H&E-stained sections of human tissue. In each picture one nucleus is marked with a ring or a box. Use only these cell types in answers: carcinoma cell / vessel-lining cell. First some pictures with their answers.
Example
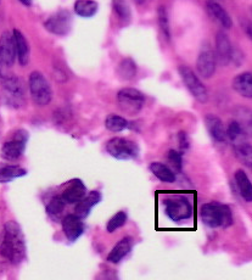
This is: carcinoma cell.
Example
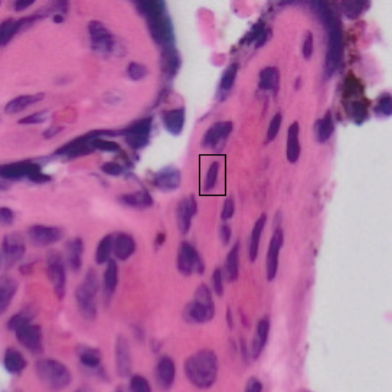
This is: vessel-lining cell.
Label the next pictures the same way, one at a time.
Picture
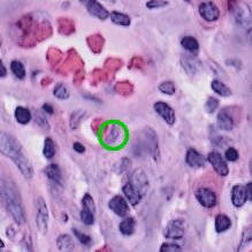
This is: vessel-lining cell.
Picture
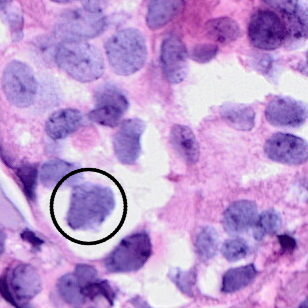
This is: carcinoma cell.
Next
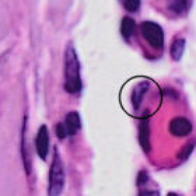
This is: vessel-lining cell.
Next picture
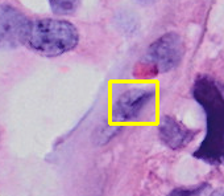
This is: vessel-lining cell.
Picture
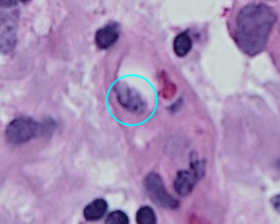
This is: vessel-lining cell.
